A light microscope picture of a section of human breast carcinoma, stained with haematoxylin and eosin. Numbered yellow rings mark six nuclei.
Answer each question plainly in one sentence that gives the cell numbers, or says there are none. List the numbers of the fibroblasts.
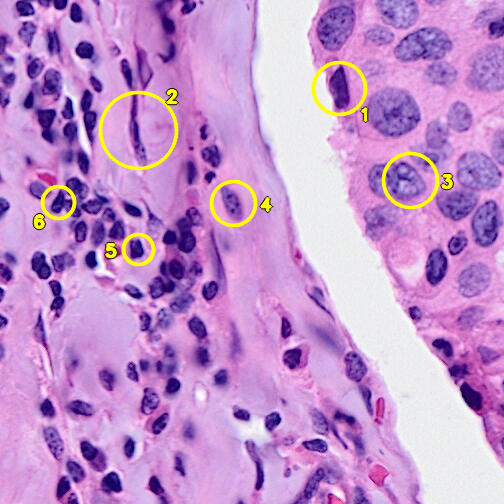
A single numbered cell, cell 2, is a fibroblast.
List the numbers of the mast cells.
The cell marked by number 4 is a mast cell; the other marked cells are not.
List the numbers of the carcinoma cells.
The cells marked with the numbers 1 and 3 are carcinoma cells.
